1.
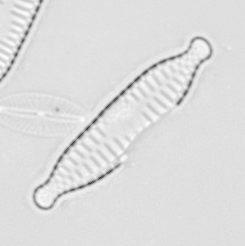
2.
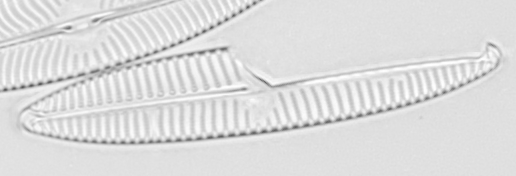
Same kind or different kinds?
Different: the first is Fragilaria, the second Navicula.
